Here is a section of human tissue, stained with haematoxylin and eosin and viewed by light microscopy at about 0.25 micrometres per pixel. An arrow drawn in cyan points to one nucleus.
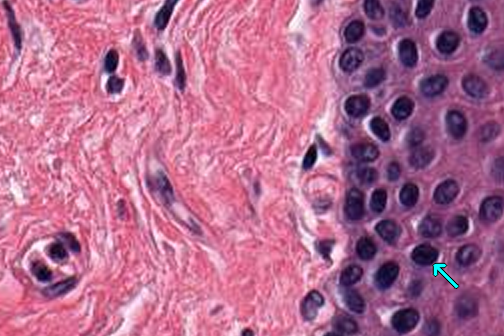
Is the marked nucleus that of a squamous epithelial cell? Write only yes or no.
yes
